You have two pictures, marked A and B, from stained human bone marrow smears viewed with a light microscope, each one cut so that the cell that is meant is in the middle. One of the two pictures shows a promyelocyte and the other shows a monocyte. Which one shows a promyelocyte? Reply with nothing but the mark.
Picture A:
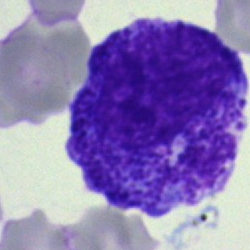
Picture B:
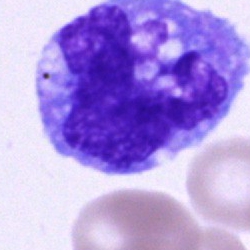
A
